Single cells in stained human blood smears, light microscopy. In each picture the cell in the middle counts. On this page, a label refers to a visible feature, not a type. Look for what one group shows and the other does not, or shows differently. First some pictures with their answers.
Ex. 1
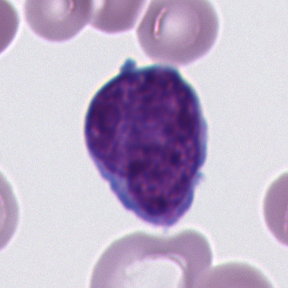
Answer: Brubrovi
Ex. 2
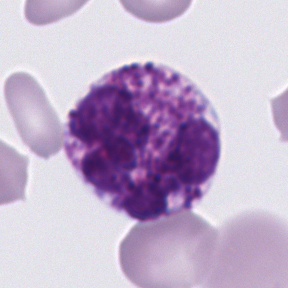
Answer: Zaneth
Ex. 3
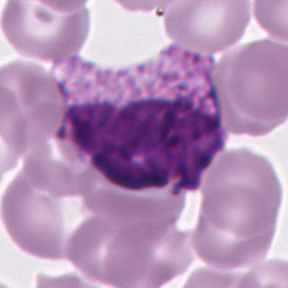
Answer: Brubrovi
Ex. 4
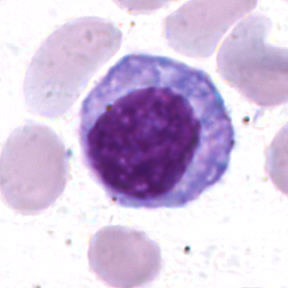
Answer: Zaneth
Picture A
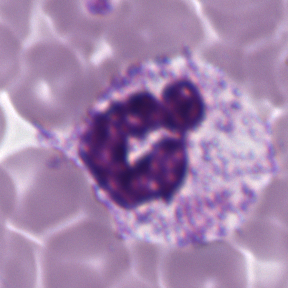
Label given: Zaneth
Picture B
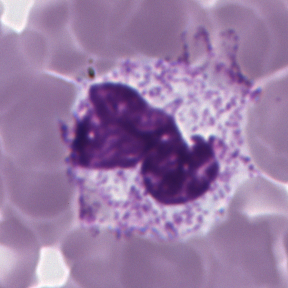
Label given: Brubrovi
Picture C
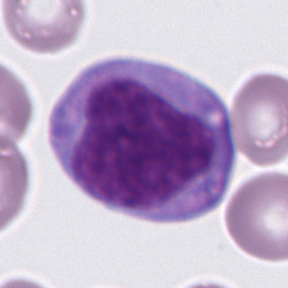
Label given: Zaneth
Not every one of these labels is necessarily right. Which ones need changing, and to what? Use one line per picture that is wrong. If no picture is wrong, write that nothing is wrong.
A is labelled Zaneth; correct label: Brubrovi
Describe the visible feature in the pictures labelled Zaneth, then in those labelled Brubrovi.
Zaneth, smooth outline; Brubrovi, ragged outline or projections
